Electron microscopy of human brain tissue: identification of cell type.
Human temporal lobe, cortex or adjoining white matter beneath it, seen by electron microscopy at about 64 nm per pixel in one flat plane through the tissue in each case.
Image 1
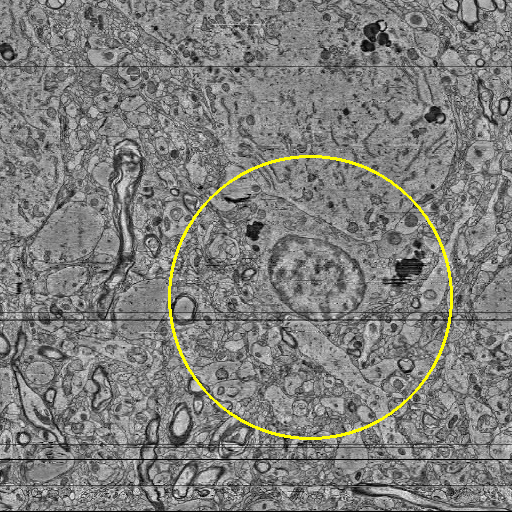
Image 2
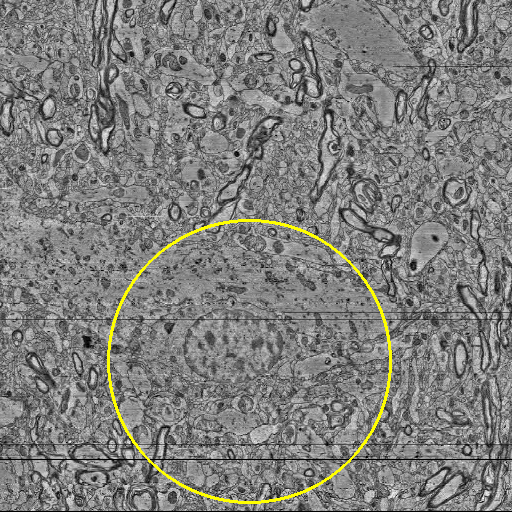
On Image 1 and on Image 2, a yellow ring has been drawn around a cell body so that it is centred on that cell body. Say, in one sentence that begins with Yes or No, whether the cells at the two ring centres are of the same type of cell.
Yes, both cells are the same type of cell.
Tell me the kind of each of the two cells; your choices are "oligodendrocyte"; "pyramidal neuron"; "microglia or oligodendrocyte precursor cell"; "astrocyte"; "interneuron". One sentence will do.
Each of the two cells is an oligodendrocyte.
